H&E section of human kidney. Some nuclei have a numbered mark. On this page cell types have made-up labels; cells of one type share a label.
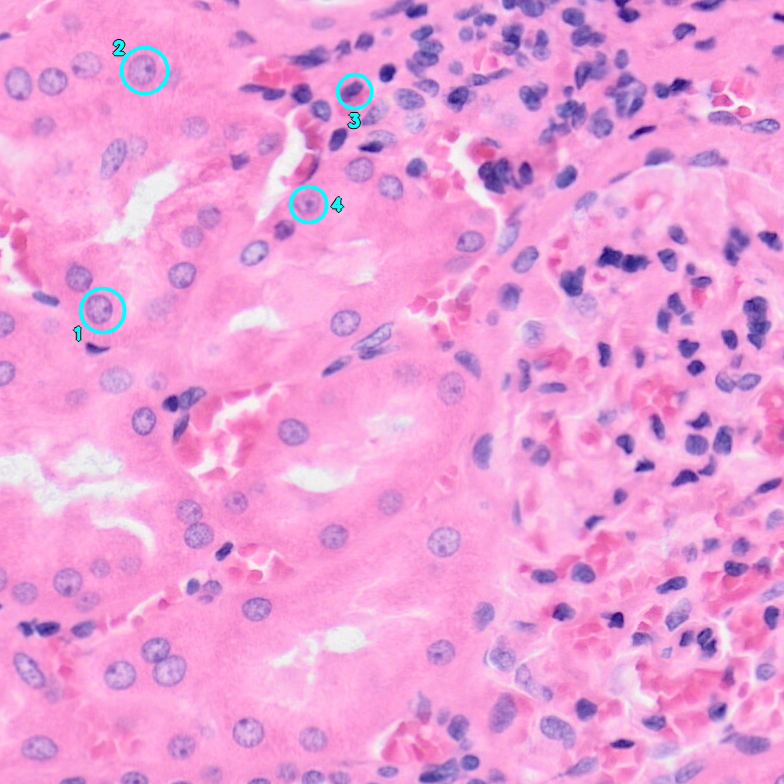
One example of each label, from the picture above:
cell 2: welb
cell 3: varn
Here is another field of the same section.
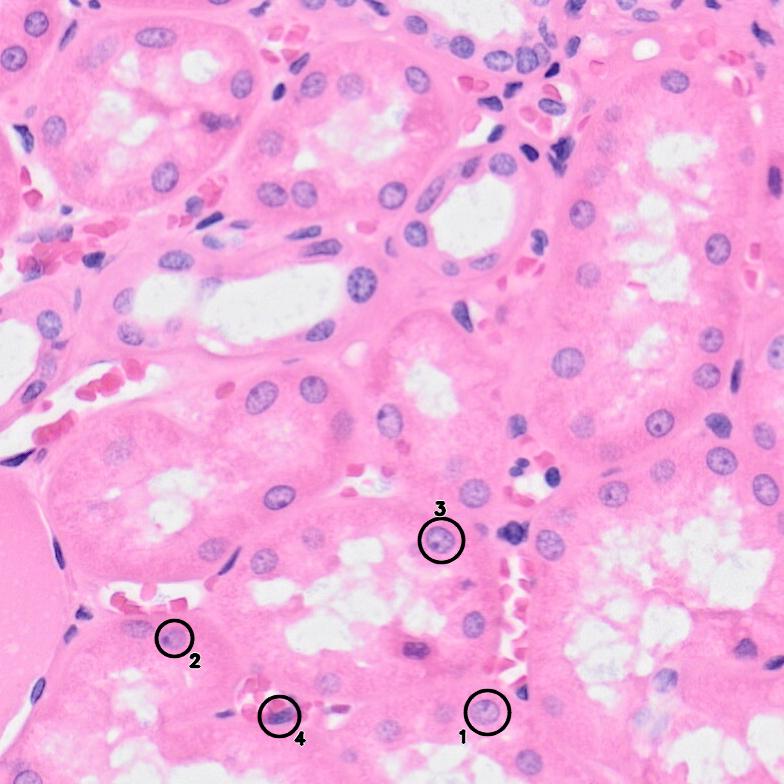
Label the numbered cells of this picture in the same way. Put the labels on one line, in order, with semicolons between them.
welb; welb; welb; varn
